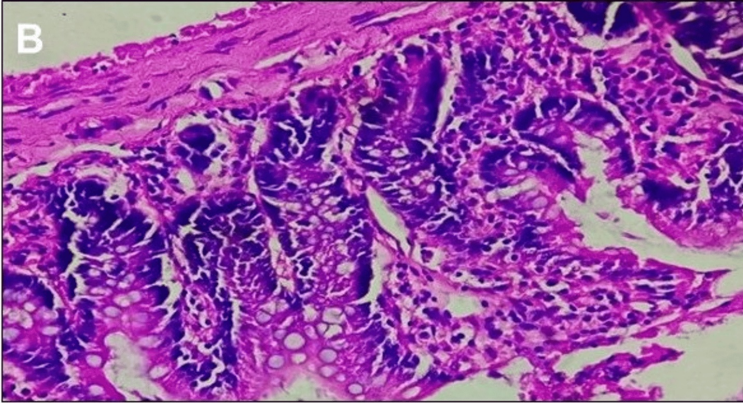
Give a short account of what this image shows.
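This is colonic mucosa in which the crypts are distorted, irregular and no longer run in parallel; their epithelium is disorganised, with crowded dark purple nuclei and only scattered pale goblet cells remaining. The tissue between the crypts is packed with many small round cells with dark nuclei, consistent with a dense lymphocytic infiltrate. Along the surface the epithelium is ragged and broken. Clefts and spaces split the tissue. A band of pink muscle runs along the upper edge of the field. Overall the normal orderly crypt pattern is lost.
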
